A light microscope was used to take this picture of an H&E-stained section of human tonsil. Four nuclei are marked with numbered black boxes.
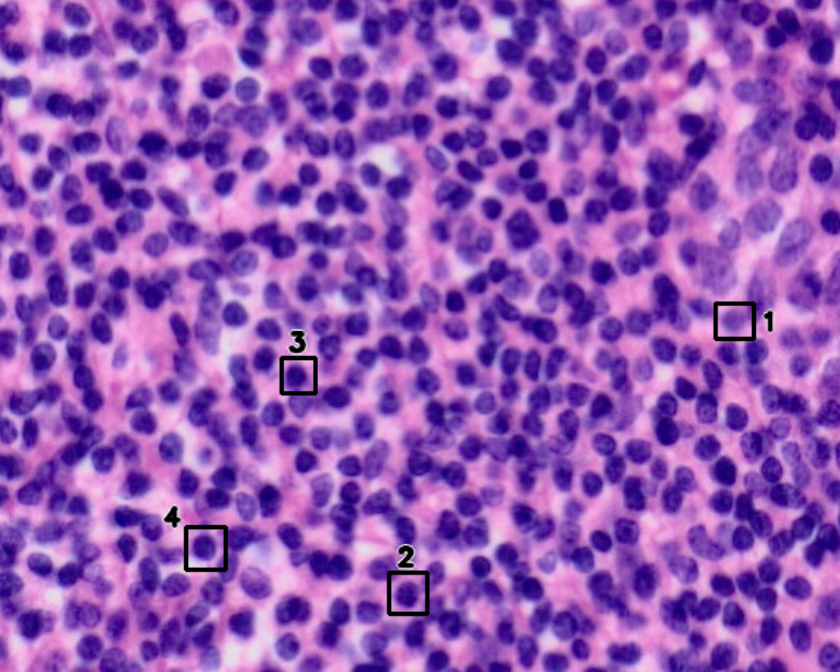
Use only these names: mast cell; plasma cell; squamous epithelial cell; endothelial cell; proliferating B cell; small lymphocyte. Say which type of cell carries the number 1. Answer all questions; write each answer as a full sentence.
To a proliferating B cell belongs the nucleus marked 1.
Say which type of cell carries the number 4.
Within this field of view, the cell labelled 4 is a small lymphocyte.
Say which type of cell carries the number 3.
Cell 3 of the marked set is a small lymphocyte.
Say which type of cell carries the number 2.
Cell 2 is classified as a small lymphocyte.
